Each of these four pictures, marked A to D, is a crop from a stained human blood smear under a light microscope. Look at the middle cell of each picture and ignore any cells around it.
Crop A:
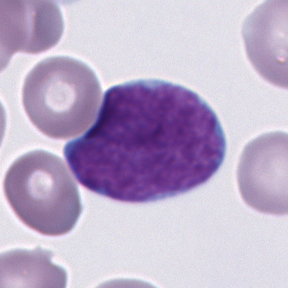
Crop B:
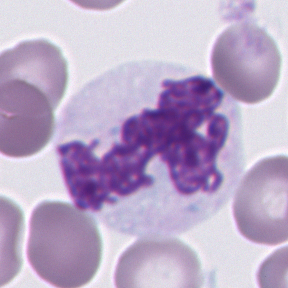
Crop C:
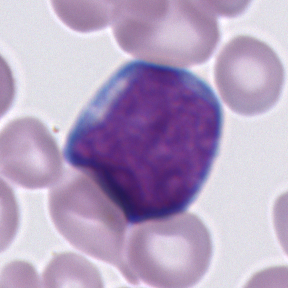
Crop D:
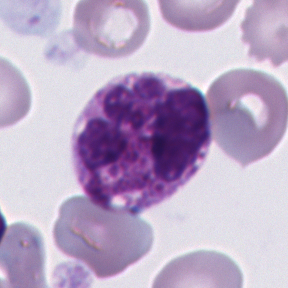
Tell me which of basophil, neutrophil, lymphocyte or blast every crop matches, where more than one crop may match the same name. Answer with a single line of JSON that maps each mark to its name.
{"A": "blast", "B": "neutrophil", "C": "blast", "D": "basophil"}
